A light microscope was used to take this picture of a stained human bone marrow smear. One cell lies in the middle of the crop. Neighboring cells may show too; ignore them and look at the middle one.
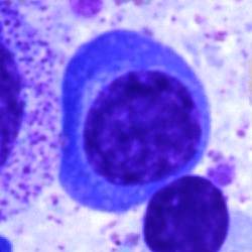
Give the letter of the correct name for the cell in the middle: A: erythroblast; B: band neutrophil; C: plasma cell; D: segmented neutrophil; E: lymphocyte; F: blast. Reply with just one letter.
C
